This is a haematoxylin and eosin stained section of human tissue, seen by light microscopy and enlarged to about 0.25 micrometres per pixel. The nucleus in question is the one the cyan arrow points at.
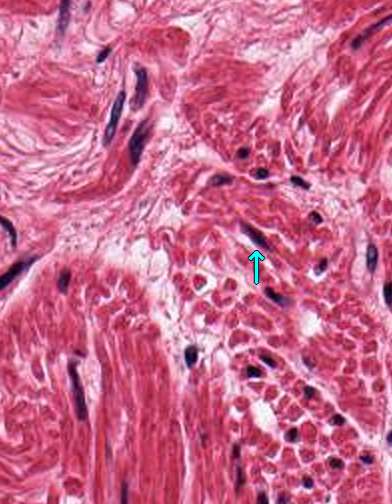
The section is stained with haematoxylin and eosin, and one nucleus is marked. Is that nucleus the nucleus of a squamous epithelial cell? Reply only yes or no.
no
